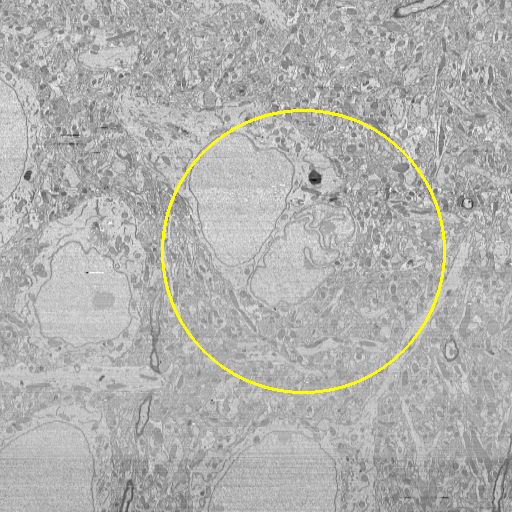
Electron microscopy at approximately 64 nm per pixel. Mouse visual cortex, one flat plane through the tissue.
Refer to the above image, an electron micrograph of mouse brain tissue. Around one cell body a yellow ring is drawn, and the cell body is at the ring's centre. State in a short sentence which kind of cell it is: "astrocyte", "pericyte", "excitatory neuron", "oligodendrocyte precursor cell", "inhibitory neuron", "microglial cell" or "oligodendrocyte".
The centre of the ring falls on an oligodendrocyte precursor cell.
